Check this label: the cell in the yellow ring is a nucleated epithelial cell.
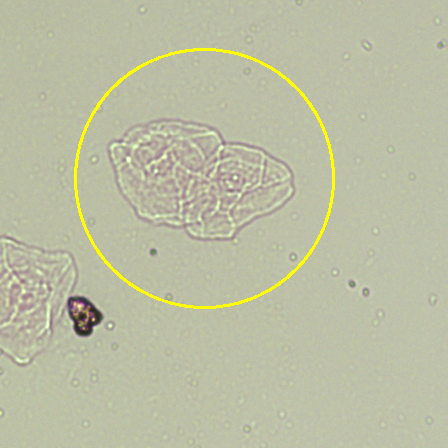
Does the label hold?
The label does not hold; the cell is a cornified epithelial cell.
